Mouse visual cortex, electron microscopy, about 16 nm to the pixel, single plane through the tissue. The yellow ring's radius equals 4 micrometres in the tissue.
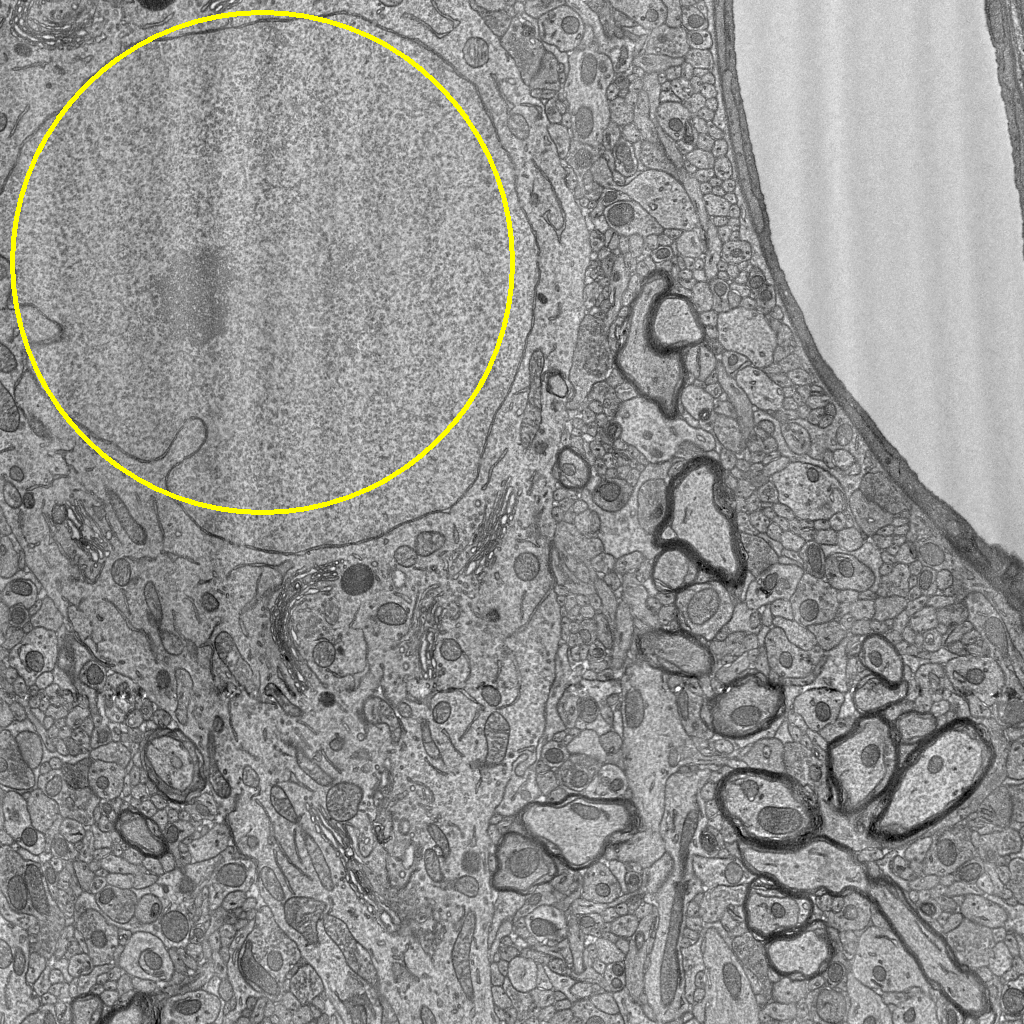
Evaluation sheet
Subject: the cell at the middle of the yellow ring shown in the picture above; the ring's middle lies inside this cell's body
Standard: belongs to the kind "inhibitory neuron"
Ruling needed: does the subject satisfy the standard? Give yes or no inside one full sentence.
Yes, the cell at the middle of the ring in the picture above belongs to the stated kind.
